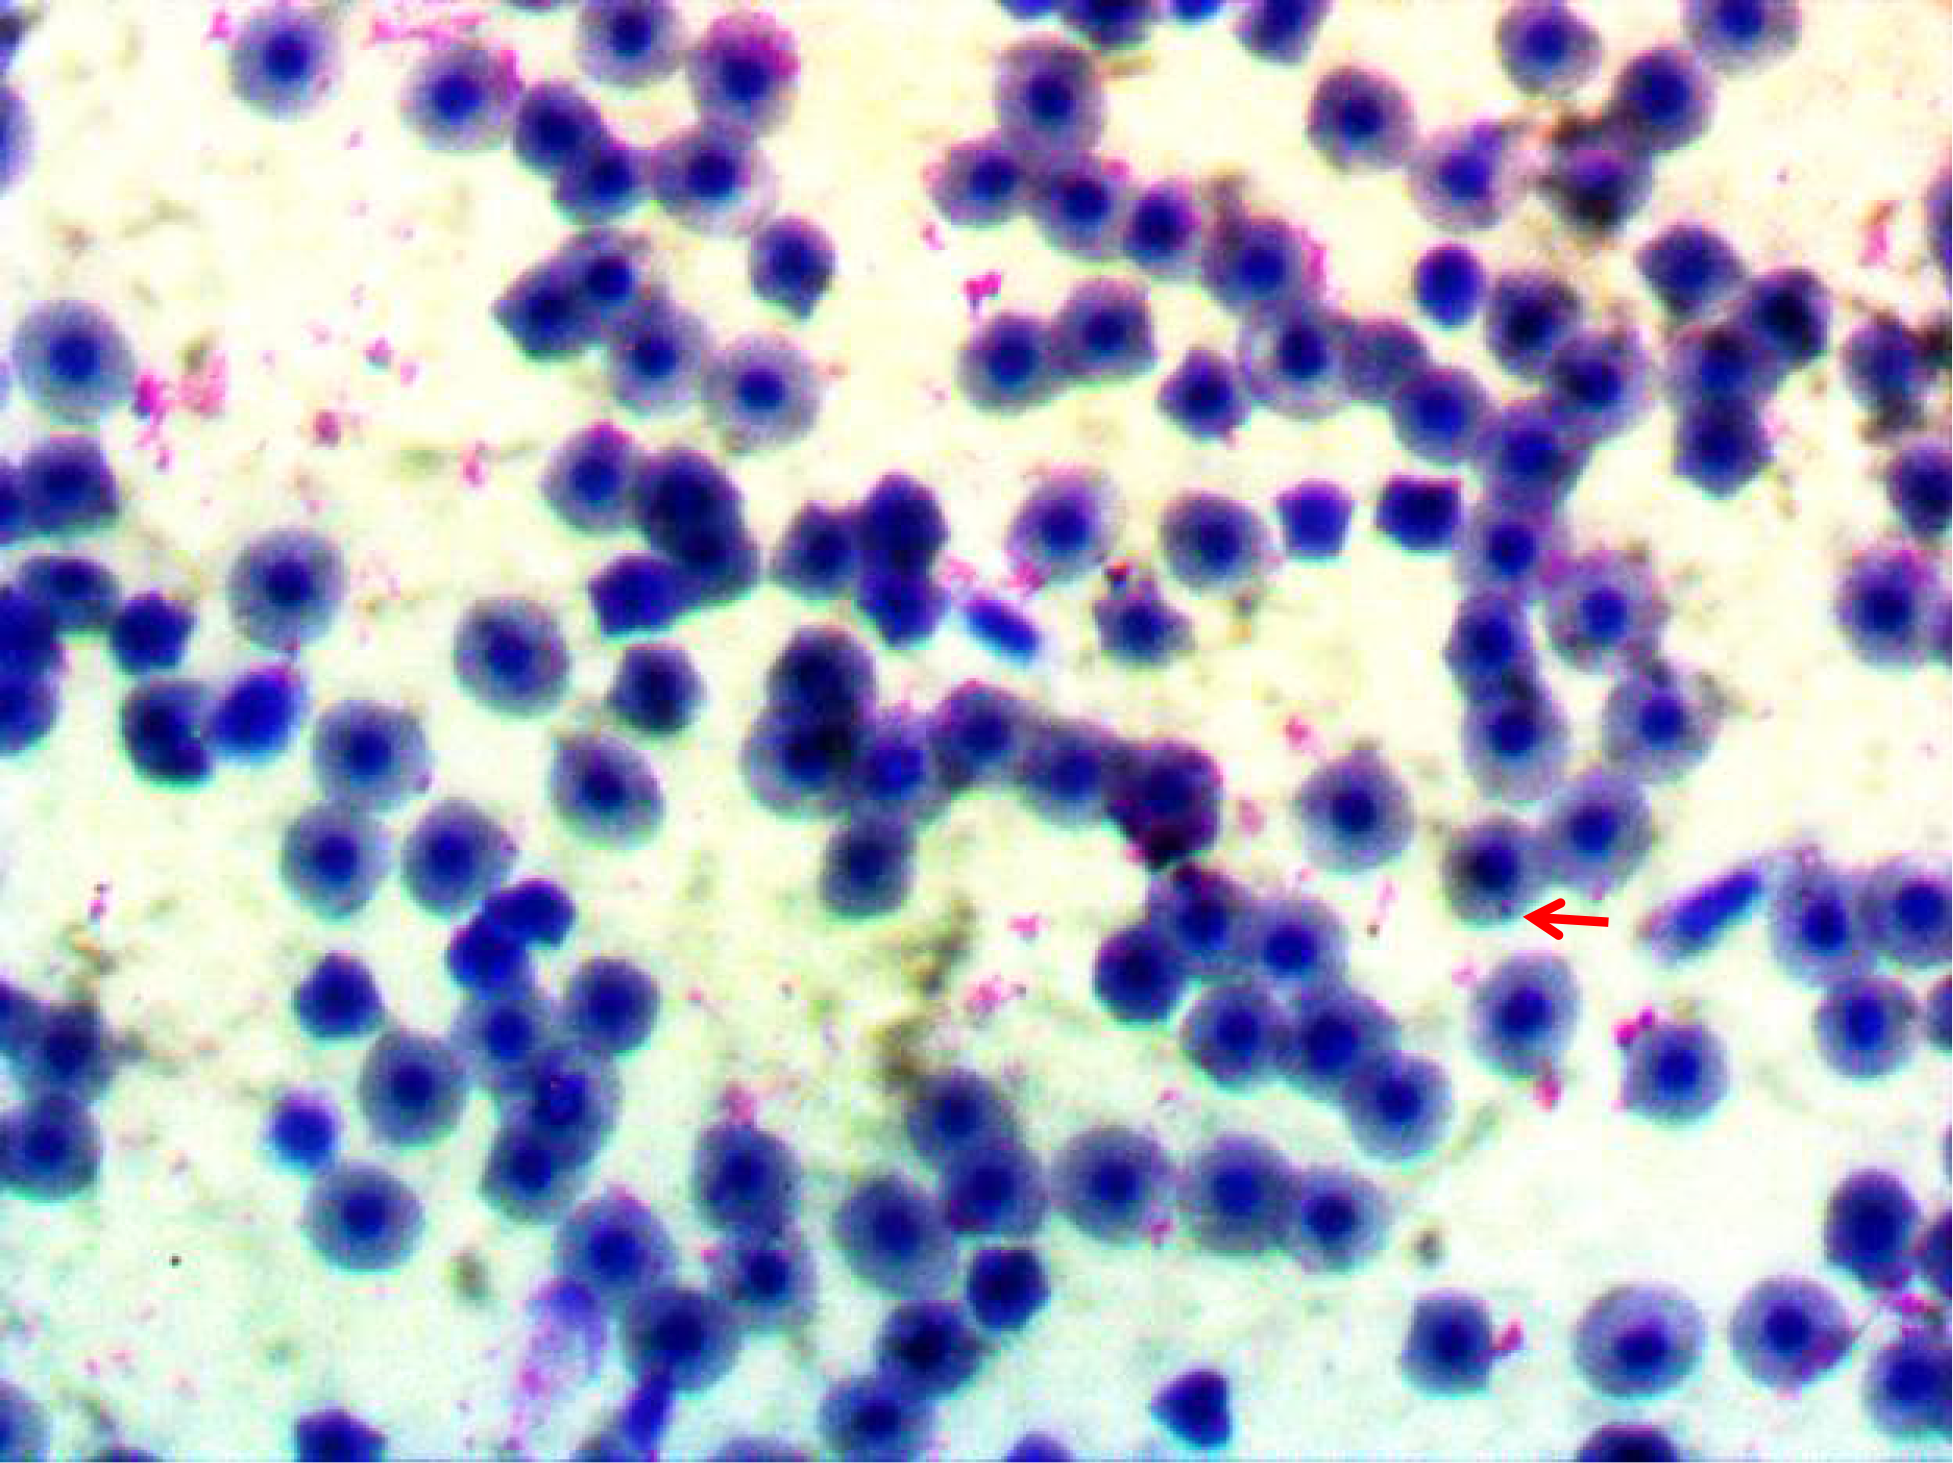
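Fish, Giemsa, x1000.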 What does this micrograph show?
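Cells are rounded and of fairly uniform size, each with one dense, dark purple-blue, roughly central nucleus and a paler lilac-grey rim of cytoplasm. Many cells lie singly; others are clustered, touching or overlapping in short chains and groups. A few cells appear as compact dark purple bodies with little visible cytoplasm, and a few are elongated and dark. The background is pale yellowish, with scattered small pink-magenta particles and faint greenish-brown debris between the cells.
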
